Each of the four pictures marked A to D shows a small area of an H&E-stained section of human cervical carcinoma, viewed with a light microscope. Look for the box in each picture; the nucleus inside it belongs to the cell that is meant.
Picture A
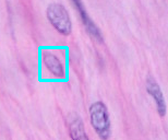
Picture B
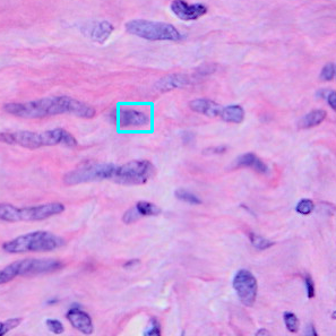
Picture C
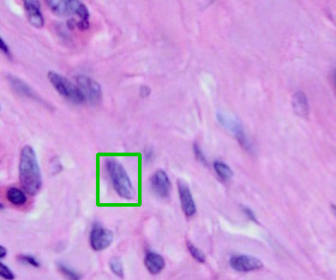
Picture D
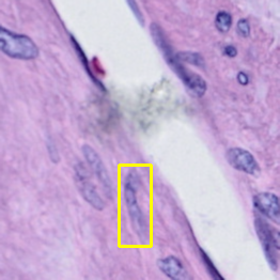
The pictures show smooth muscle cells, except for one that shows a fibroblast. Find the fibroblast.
C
